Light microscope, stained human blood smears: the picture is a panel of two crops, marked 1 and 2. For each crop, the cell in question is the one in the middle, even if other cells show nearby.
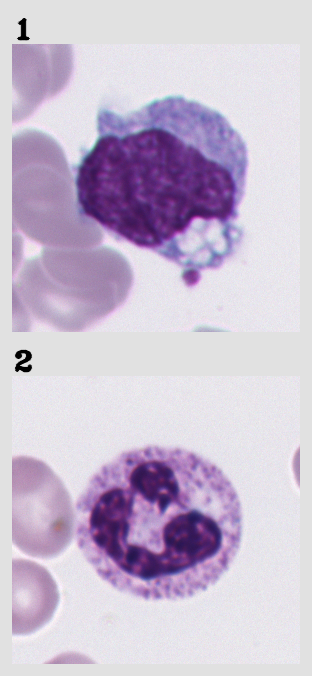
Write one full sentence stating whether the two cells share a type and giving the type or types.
No, crop 1 shows a monocyte, and it is crop 2 that shows a neutrophil.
